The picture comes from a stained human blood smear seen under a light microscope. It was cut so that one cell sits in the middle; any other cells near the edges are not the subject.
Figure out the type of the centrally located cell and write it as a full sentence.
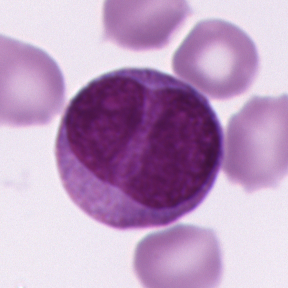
Answering briefly, the cell in the middle is a blast.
